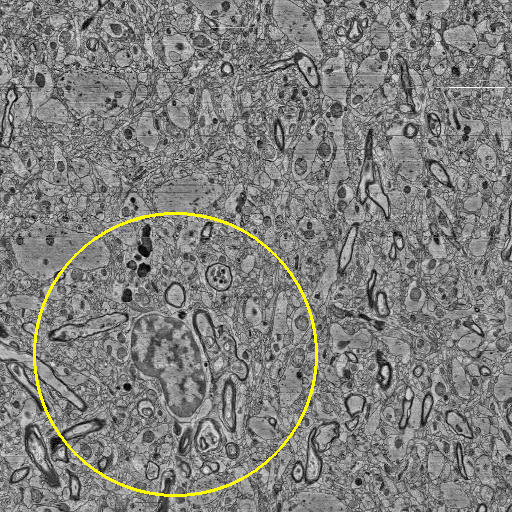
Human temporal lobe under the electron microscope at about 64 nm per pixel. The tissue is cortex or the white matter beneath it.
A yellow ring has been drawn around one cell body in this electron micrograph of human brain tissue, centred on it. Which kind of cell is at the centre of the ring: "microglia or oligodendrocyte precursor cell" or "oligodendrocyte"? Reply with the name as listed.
microglia or oligodendrocyte precursor cell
